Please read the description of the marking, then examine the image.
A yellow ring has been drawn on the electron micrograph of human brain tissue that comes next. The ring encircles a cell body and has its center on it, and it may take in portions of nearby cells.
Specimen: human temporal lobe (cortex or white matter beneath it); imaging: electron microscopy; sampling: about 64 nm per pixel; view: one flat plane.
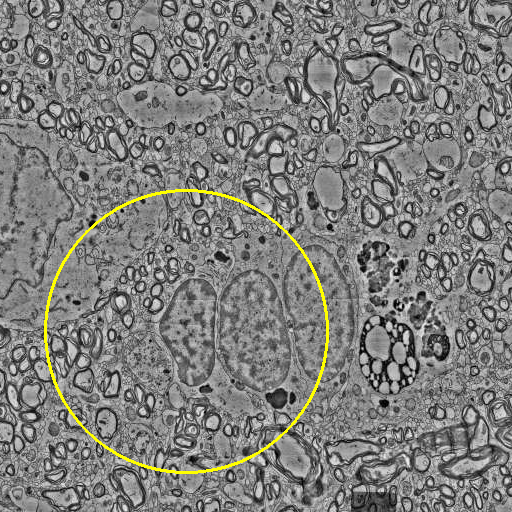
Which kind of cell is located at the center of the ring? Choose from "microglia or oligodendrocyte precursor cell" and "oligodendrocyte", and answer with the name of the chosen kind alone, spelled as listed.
microglia or oligodendrocyte precursor cell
